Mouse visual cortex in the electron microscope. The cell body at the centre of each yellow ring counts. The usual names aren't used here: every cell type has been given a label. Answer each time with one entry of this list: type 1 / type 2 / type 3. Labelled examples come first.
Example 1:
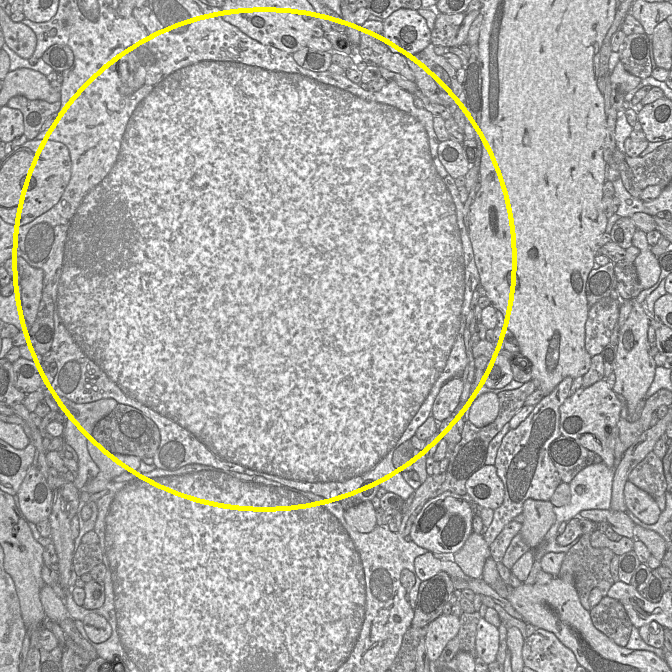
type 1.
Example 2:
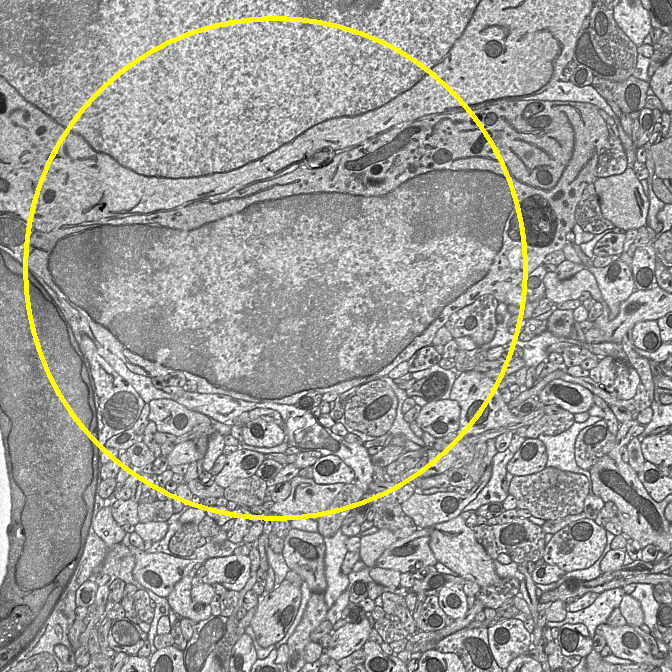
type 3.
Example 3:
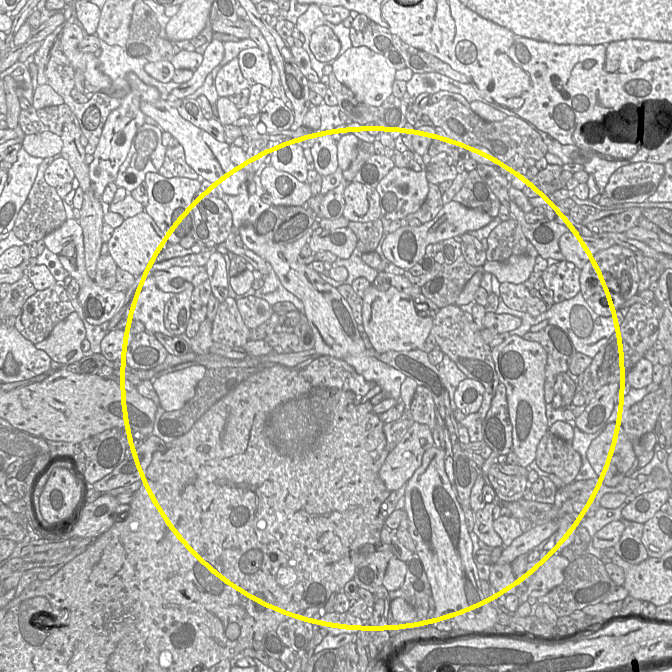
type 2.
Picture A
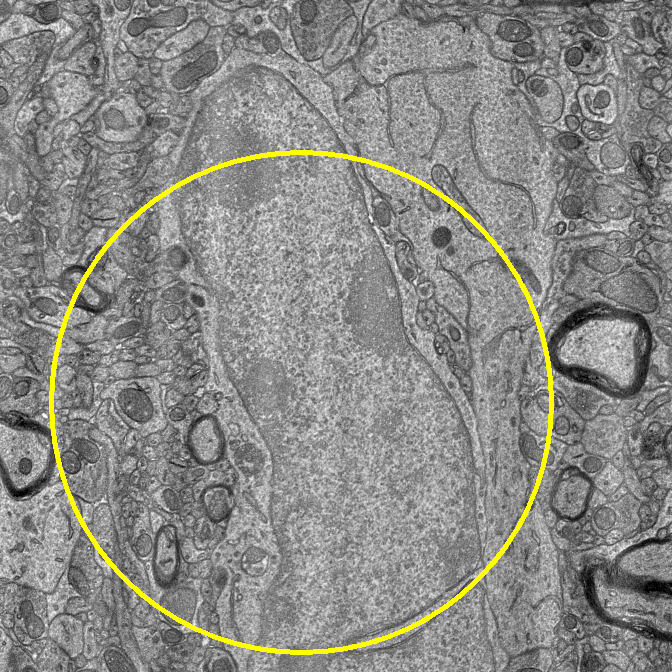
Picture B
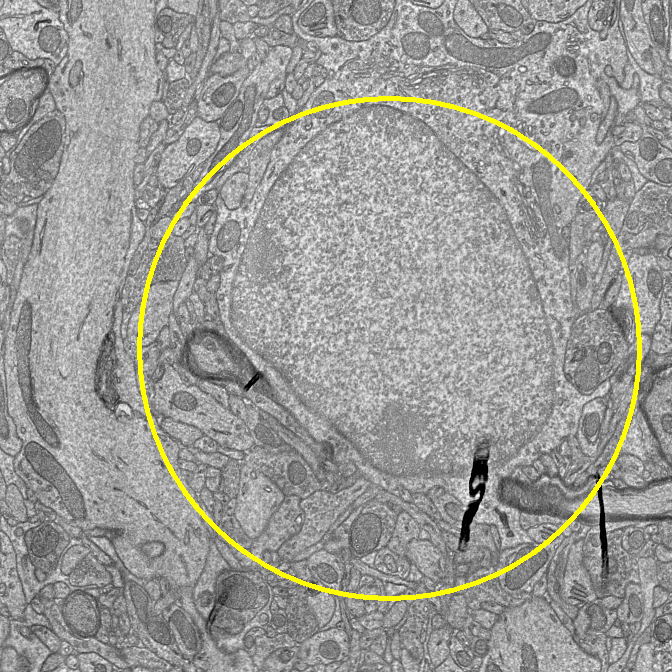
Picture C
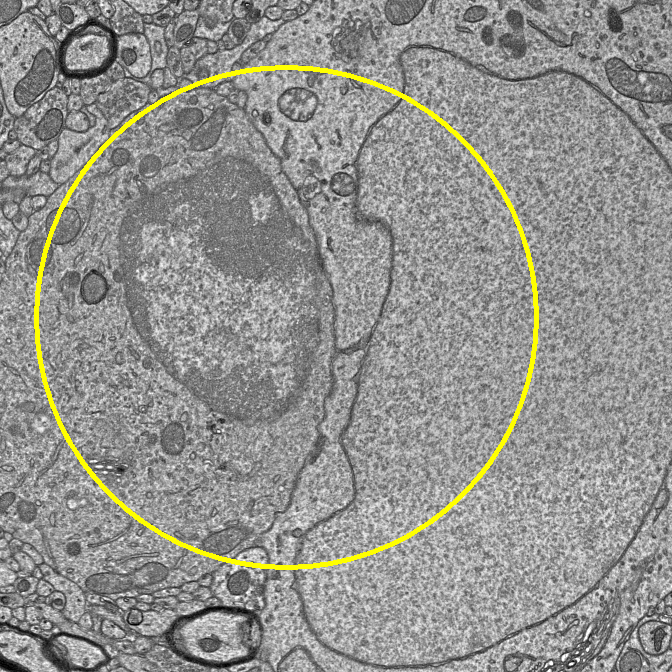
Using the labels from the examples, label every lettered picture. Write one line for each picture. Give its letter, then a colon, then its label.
A: type 2.
B: type 1.
C: type 2.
